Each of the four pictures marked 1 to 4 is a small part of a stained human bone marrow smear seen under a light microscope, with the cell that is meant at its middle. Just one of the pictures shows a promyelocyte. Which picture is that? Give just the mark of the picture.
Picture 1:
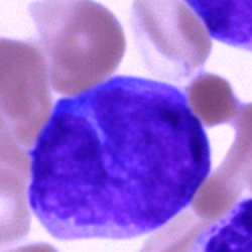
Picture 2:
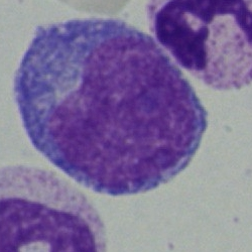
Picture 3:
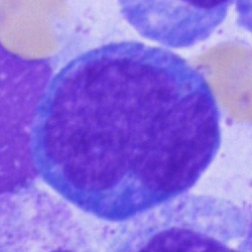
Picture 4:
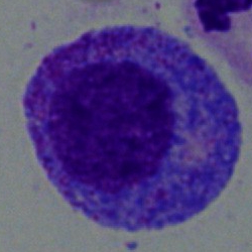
4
